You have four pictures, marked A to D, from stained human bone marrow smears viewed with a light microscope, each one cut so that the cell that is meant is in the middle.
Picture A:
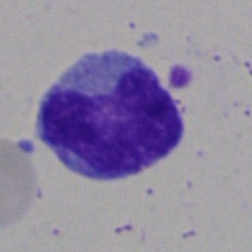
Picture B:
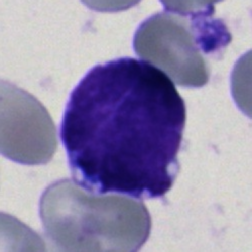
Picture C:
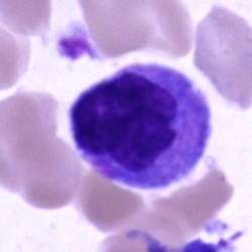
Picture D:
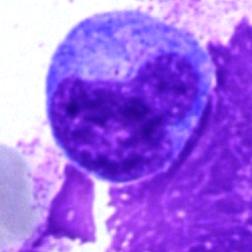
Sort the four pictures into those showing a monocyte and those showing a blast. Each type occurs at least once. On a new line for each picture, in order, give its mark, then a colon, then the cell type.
A: monocyte
B: blast
C: monocyte
D: monocyte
